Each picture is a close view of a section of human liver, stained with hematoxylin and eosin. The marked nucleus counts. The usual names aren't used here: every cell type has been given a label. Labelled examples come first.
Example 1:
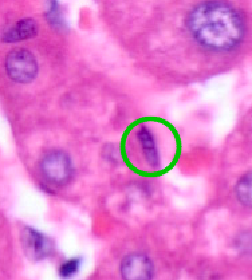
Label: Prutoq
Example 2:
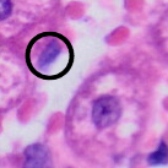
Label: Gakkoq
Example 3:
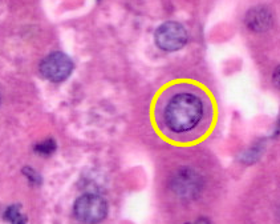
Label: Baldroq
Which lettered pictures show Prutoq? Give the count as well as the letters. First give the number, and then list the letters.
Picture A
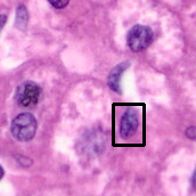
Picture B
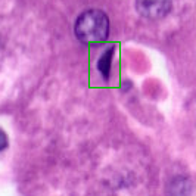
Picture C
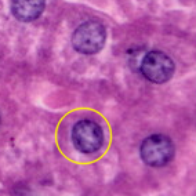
2, namely A, B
